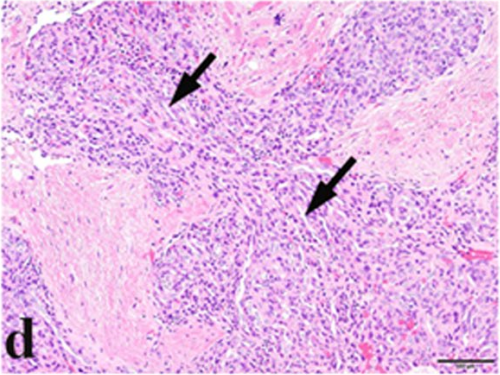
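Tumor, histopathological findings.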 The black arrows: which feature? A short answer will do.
Slit-like structures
